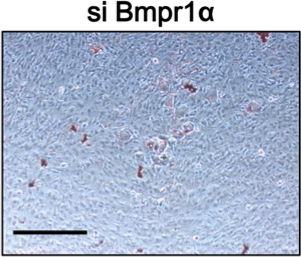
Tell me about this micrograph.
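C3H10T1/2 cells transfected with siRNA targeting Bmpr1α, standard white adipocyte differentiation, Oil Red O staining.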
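A confluent culture of mesenchymal cells with only a few cells holding red-staining droplets. Most of the field is a dense layer of flat, elongated, spindle-shaped unstained cells. A small number of rounded cells with sparse red droplets lie scattered, mostly in the upper and middle part of the field.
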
